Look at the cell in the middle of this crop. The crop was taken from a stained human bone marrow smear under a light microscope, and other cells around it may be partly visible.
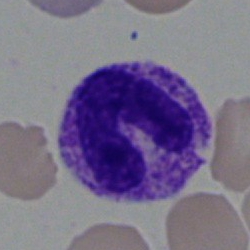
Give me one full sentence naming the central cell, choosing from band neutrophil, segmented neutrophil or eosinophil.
The central element of this crop is a cell, namely a band neutrophil.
